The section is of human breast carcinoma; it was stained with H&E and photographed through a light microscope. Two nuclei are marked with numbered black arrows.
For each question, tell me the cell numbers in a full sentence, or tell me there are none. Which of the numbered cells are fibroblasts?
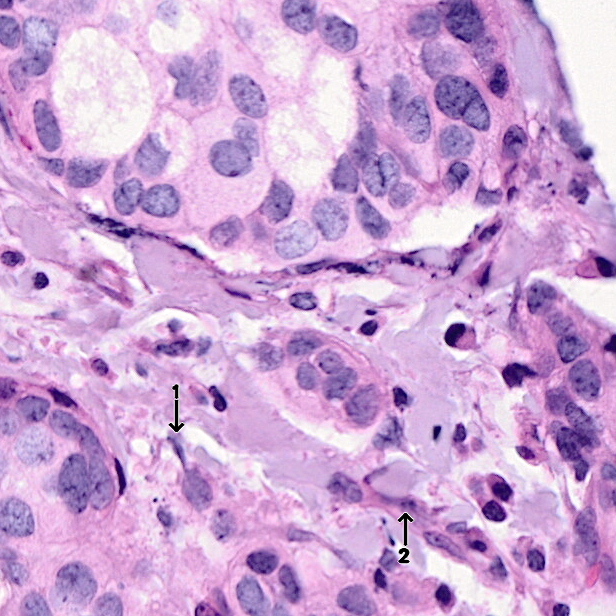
There is just one numbered cell that is a fibroblast, and it is cell 1.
